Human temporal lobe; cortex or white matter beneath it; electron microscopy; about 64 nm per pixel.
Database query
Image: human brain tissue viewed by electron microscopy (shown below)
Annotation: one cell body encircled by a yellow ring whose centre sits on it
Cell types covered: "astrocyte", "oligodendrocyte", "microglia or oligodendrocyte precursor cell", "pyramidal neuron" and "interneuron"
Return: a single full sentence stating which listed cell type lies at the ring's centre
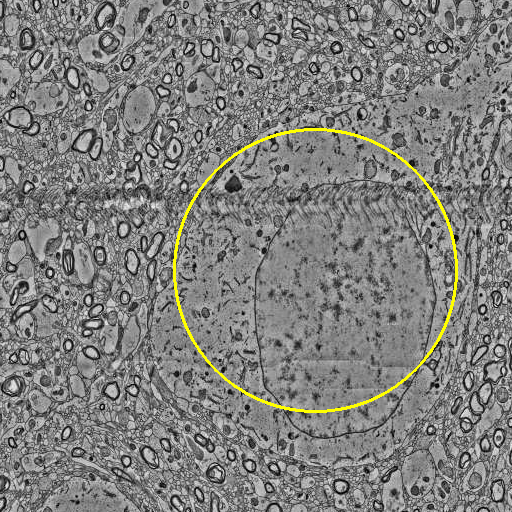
In the image, the cell lying at the ring's centre is a pyramidal neuron.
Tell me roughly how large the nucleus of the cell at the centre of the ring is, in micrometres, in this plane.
About 17 by 12 micrometers for the nucleus, in this plane.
